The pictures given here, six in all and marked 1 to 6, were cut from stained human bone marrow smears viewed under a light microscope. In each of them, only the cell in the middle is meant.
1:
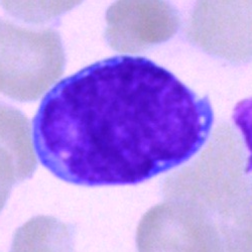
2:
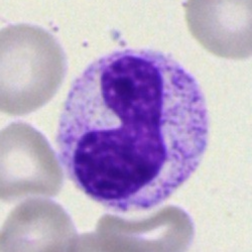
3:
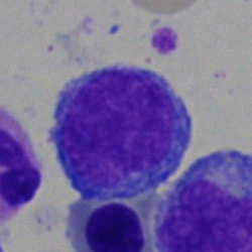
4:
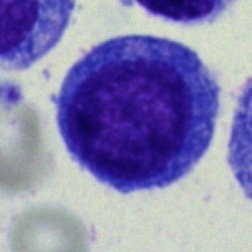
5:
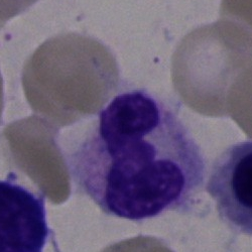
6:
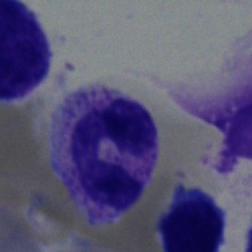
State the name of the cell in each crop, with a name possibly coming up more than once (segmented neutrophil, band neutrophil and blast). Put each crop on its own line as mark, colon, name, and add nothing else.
1: blast
2: band neutrophil
3: blast
4: blast
5: segmented neutrophil
6: segmented neutrophil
